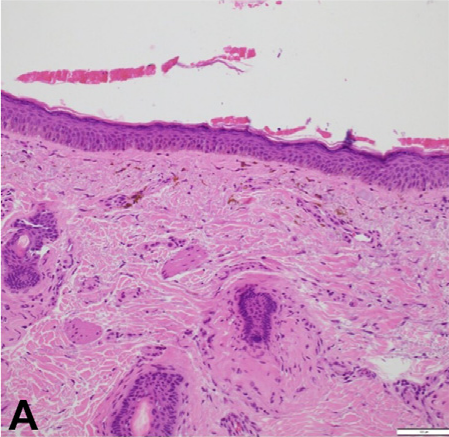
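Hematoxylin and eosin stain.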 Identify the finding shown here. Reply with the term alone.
Deposition of brown pigment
